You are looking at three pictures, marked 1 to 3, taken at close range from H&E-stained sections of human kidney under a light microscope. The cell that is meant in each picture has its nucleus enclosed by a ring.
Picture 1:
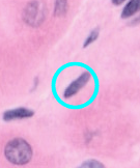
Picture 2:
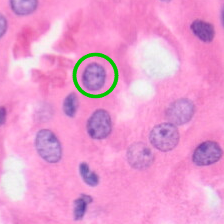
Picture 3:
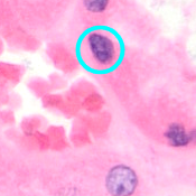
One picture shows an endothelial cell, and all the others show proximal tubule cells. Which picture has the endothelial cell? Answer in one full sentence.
Picture 1 shows the endothelial cell.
